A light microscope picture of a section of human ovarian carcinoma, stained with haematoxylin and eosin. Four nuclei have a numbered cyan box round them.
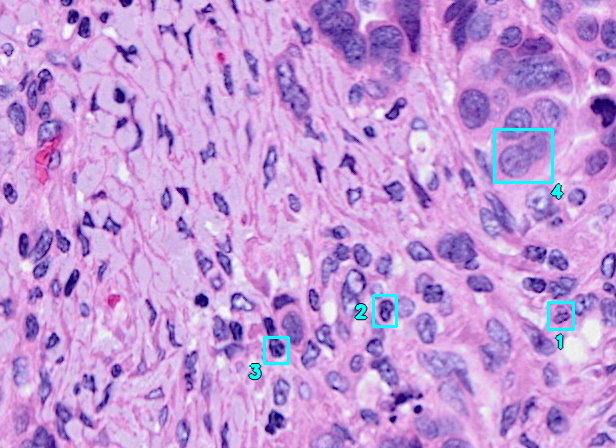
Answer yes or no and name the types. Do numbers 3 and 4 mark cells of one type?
No, cell 3 is interpreted as a lymphocyte, and cell 4 is interpreted as a carcinoma cell.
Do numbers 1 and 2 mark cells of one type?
No, cell 1 is an endothelial cell, but cell 2 is a lymphocyte.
